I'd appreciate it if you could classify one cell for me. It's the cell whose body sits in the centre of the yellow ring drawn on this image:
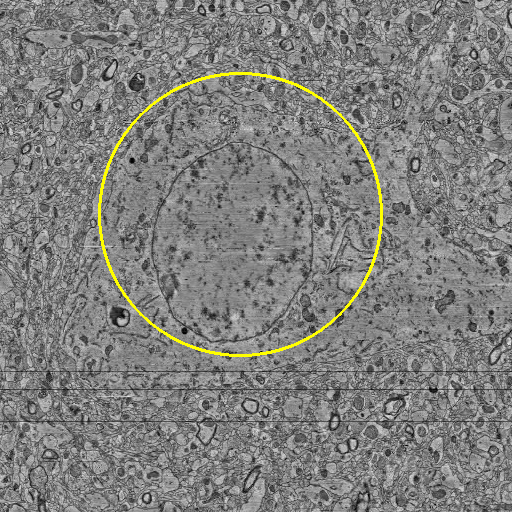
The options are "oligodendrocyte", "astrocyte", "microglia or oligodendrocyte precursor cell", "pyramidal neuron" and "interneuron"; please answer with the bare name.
pyramidal neuron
